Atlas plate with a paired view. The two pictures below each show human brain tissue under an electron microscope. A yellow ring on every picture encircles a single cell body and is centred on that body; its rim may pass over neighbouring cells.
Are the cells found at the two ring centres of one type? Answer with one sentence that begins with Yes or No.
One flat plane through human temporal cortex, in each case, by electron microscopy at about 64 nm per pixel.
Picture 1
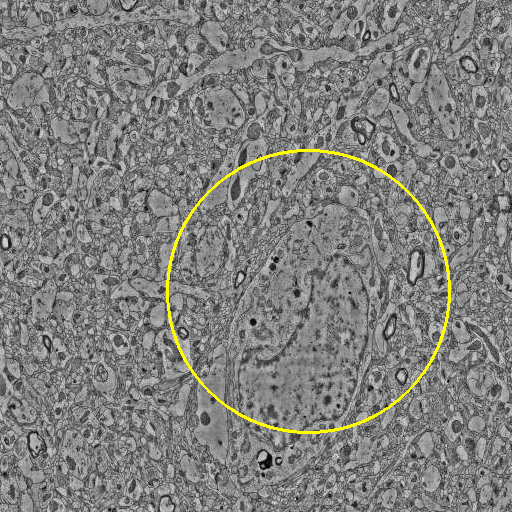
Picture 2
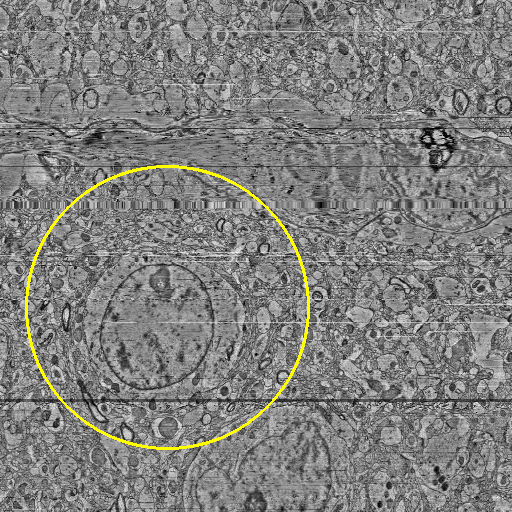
No, the two cells lying at the centres of the rings are of two types.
